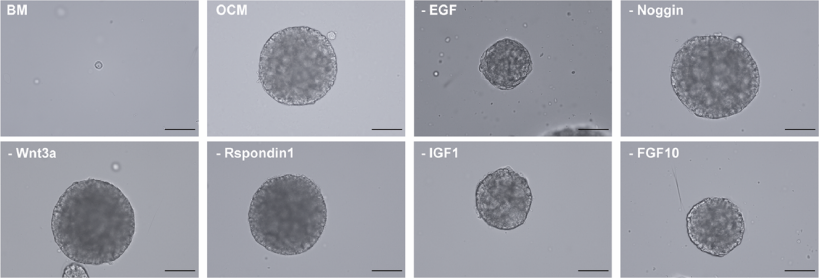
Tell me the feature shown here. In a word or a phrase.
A: Organoids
